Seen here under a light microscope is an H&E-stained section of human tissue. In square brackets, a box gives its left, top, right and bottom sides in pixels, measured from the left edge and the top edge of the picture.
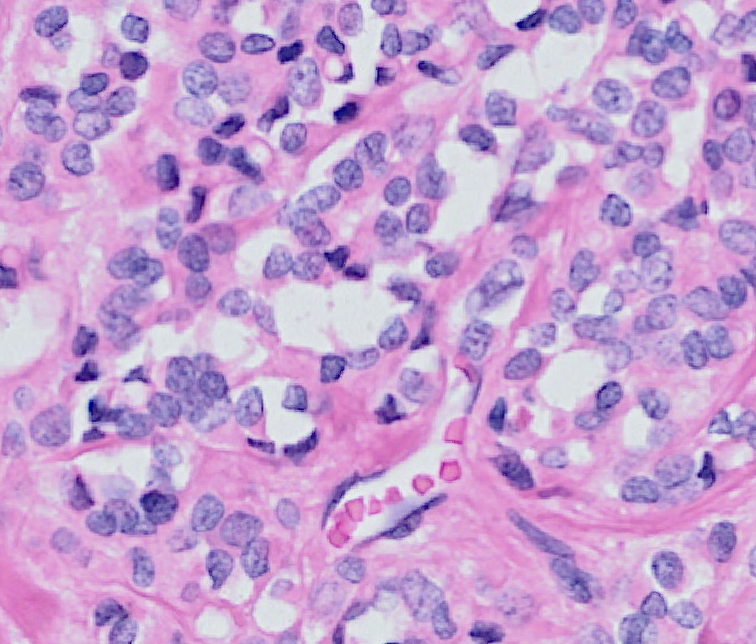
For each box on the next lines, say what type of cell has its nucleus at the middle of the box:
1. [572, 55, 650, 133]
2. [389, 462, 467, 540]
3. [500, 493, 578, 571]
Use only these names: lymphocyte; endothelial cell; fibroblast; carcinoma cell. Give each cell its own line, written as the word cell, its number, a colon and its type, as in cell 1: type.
cell 1: carcinoma cell
cell 2: endothelial cell
cell 3: endothelial cell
